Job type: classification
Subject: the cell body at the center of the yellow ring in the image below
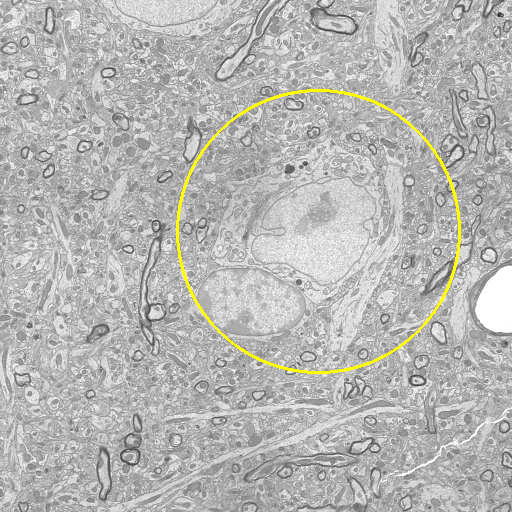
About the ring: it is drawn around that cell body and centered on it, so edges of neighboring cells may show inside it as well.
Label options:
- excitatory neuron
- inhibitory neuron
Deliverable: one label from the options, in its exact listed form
inhibitory neuron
